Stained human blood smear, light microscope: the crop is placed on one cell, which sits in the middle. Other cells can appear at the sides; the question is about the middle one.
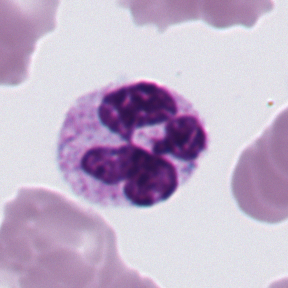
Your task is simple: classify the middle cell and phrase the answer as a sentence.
The central element of this crop is a cell, namely a segmented neutrophil.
